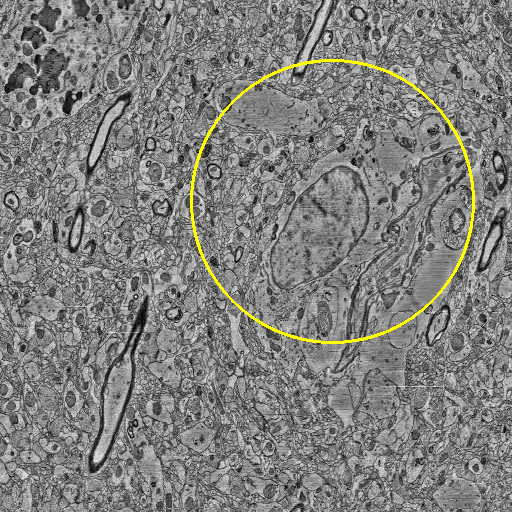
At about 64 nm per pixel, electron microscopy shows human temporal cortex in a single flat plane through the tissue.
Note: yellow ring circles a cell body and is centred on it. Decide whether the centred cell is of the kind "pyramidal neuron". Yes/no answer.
No, the centred cell is of another kind.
